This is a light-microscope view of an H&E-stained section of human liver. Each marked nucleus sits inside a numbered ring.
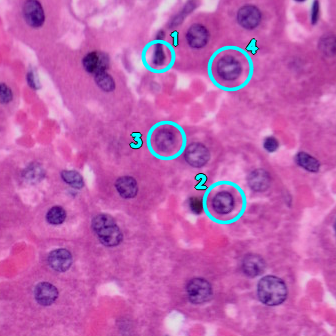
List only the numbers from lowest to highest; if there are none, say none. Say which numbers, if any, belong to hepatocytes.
2, 3, 4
